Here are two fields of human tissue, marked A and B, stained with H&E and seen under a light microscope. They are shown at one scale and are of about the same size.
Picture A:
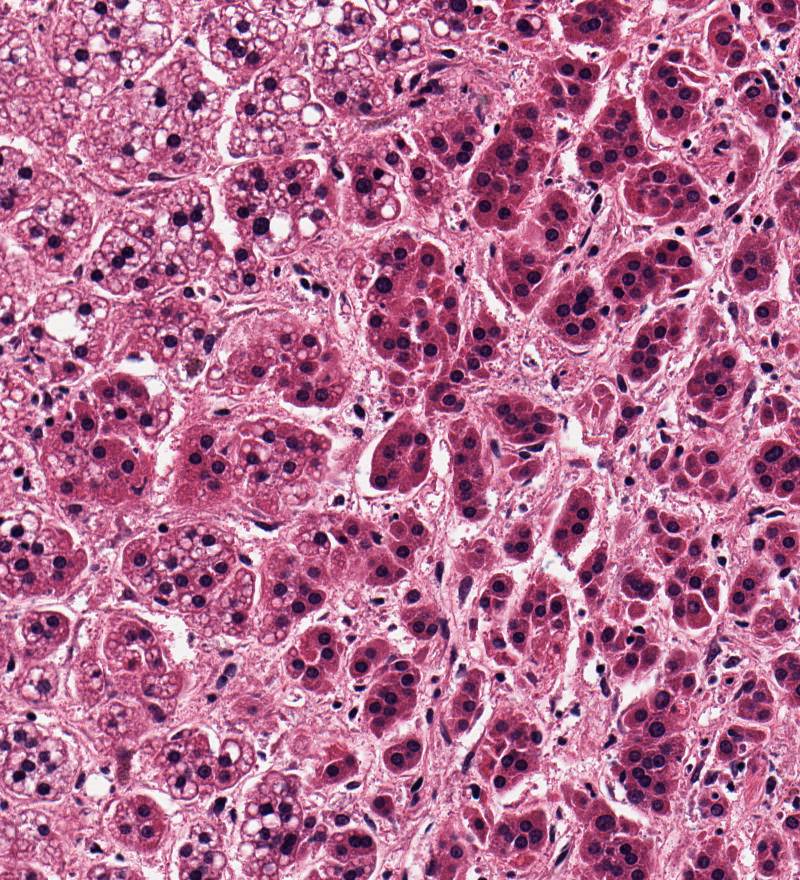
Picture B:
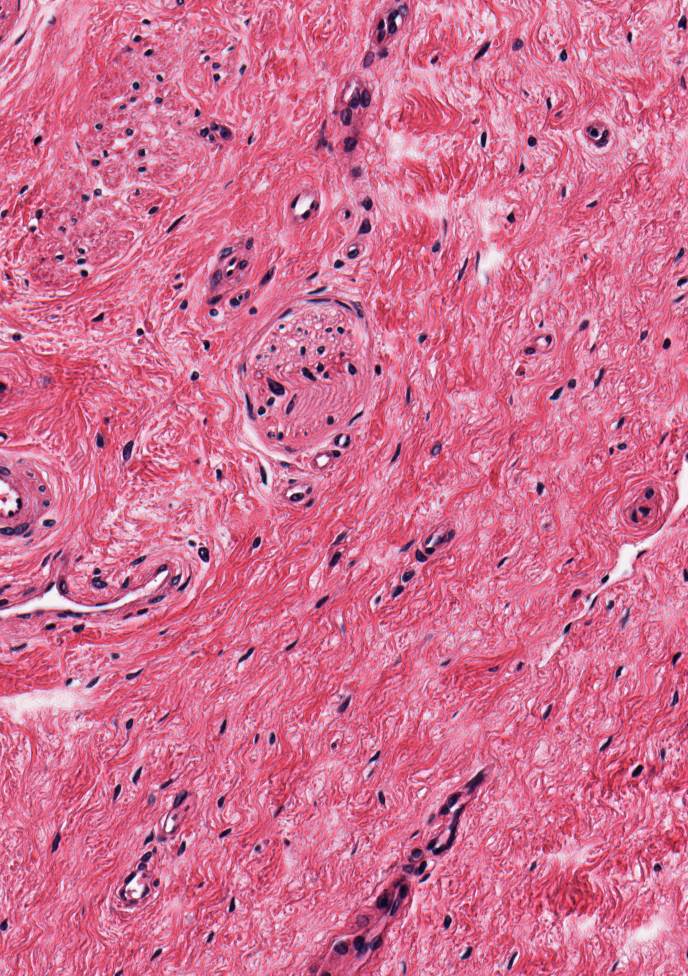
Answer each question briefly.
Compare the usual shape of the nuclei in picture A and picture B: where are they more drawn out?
B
